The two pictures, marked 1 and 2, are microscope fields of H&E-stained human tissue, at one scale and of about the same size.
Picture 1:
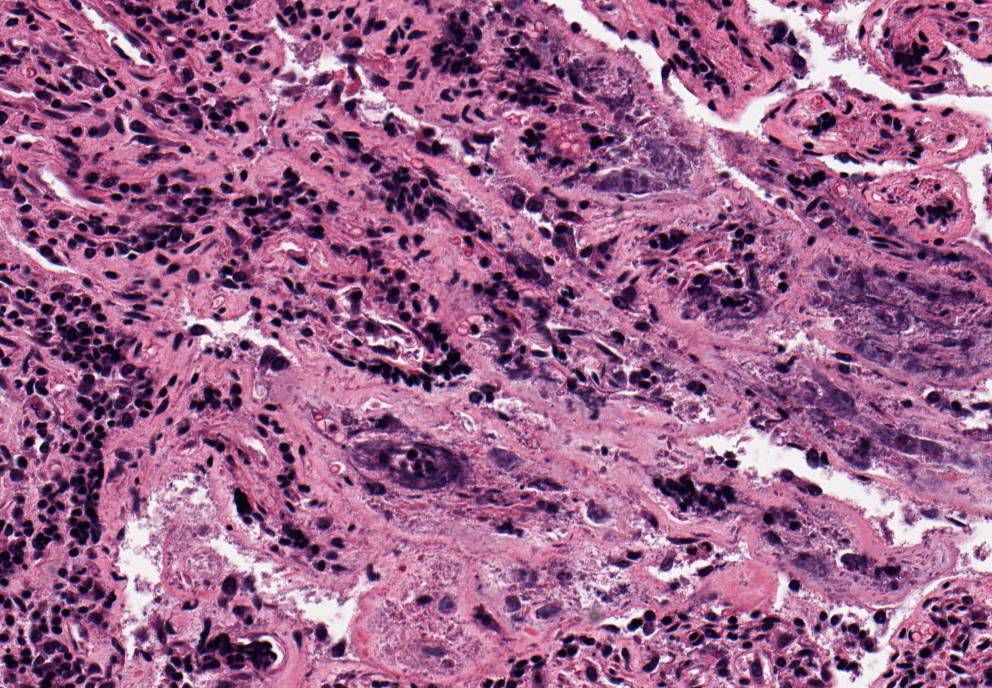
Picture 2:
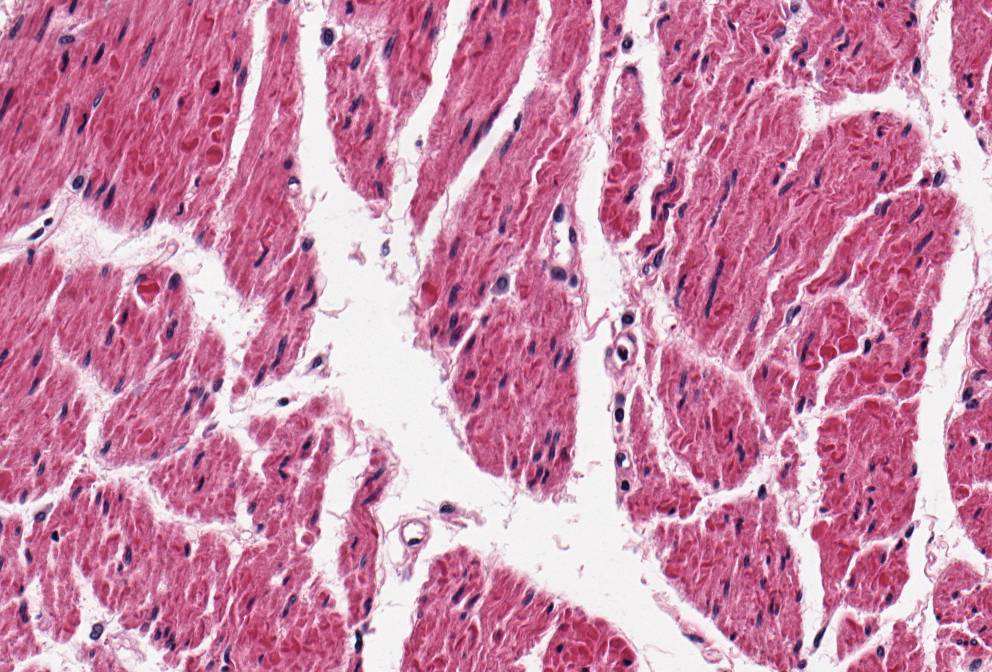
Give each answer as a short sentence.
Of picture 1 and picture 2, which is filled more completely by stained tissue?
Unstained space takes up less of picture 1 than of picture 2.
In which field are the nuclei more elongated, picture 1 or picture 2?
It is picture 2 whose nuclei are the more elongated.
